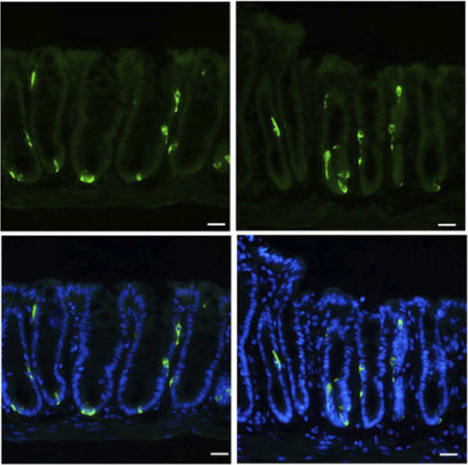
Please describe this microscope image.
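Colon crypts are seen in longitudinal section as rows of tubular glands whose epithelial nuclei glow blue, with a few single cells lit in bright green. The green cells are isolated and scattered, one or two per crypt, many lying low in the crypt near its base. They are slender or flask-shaped and wedged between the ordinary columnar epithelial cells. The rest of the crypt epithelium shows only faint background green.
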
